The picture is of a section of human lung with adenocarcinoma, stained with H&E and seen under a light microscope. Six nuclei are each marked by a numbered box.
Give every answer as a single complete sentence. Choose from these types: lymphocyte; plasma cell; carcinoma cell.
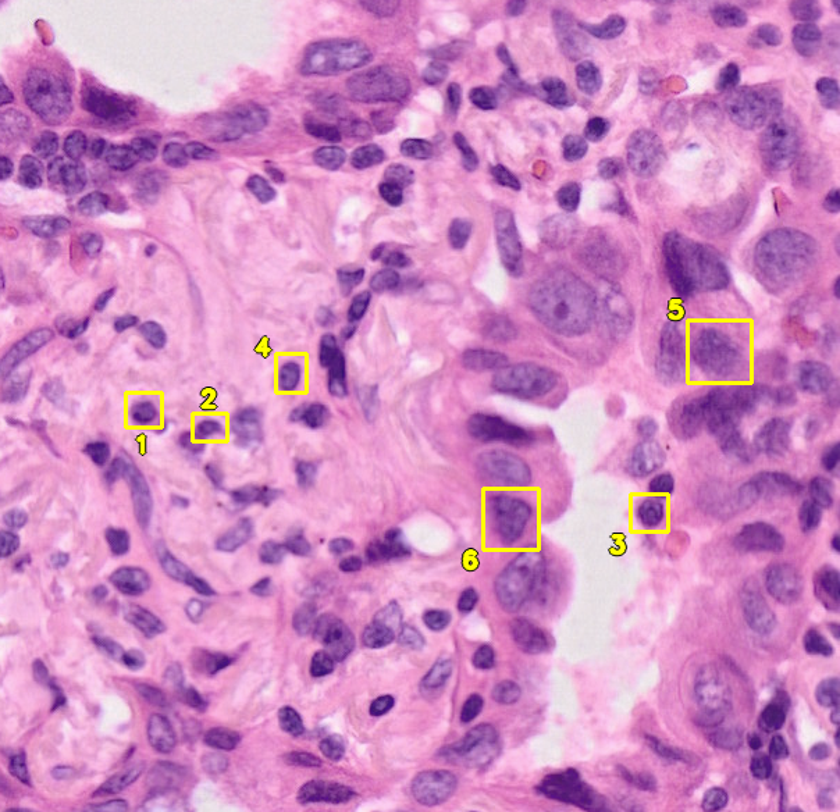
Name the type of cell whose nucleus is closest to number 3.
The nearest nucleus to number 3 belongs to a lymphocyte.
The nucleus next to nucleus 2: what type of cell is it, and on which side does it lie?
The closest nucleus belongs to a plasma cell and sits below and to the left of nucleus 2.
